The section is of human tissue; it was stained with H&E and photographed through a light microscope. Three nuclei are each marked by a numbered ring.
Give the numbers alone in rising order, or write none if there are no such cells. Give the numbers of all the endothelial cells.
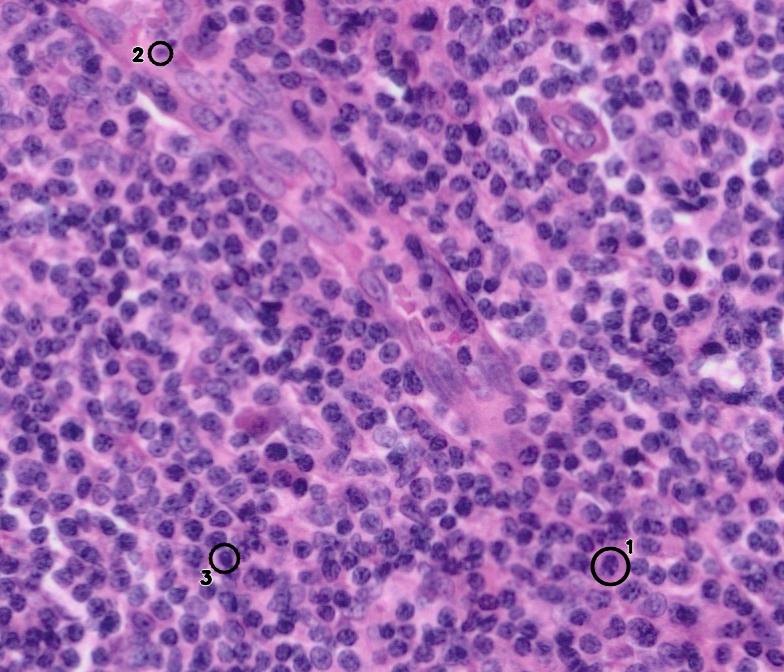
2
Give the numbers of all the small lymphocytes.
3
